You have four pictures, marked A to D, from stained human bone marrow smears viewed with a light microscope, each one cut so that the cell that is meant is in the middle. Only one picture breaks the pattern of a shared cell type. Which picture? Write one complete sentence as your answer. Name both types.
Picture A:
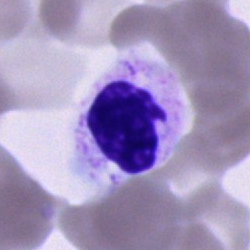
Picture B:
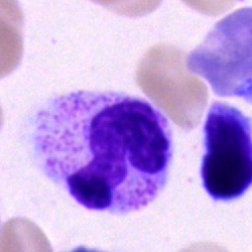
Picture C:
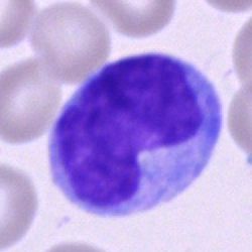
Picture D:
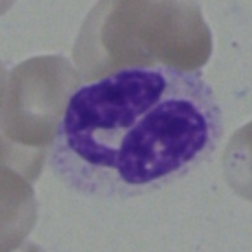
The different one is picture C; it shows a monocyte, whereas all the others show segmented neutrophils.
